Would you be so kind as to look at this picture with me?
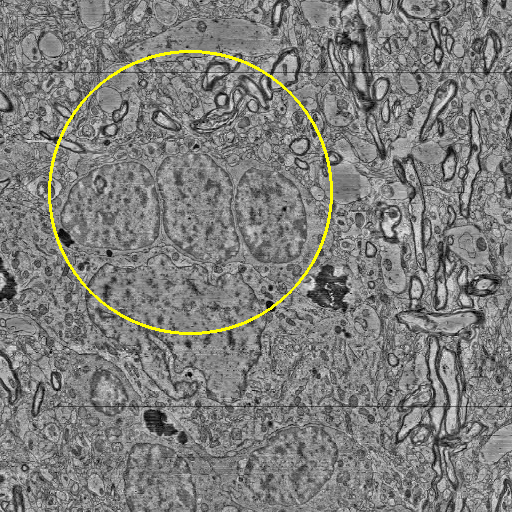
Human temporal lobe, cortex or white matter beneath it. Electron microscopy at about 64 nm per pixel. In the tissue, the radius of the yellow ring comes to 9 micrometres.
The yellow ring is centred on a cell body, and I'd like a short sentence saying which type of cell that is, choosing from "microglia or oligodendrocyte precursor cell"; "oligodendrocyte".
The cell body in the ring belongs to an oligodendrocyte.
